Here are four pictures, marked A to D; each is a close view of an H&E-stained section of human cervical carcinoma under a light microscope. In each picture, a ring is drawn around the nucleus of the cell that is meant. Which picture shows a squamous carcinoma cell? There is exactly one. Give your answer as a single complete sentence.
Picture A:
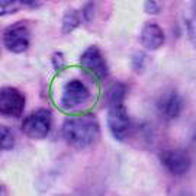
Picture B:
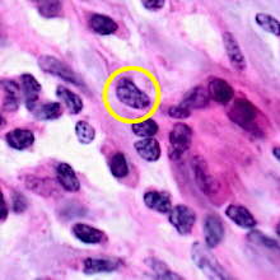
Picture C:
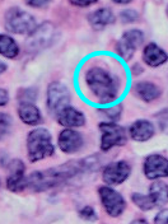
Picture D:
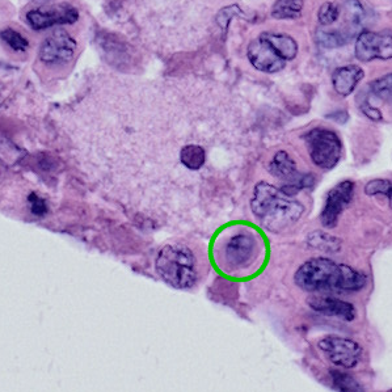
The cell in picture D is the squamous carcinoma cell.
